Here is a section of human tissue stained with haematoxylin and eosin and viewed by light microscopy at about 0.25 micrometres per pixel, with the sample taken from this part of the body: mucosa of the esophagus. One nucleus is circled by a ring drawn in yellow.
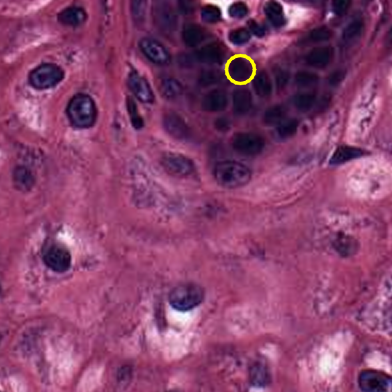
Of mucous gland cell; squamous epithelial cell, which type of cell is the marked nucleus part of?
squamous epithelial cell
